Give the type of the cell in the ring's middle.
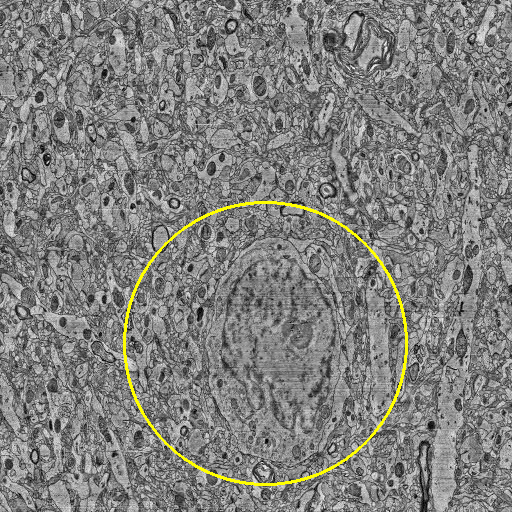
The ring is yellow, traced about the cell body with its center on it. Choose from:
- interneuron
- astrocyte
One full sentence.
Here, an interneuron is the cell lying at the center of the yellow ring.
